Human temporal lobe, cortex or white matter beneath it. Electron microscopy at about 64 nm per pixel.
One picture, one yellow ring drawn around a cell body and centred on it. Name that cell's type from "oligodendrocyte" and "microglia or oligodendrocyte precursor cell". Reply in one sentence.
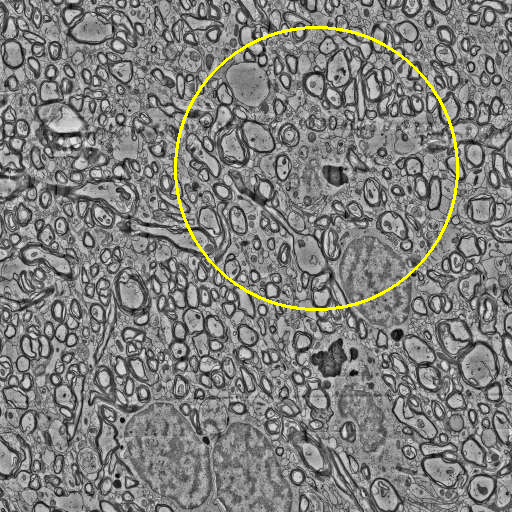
Centred in the ring is an oligodendrocyte.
